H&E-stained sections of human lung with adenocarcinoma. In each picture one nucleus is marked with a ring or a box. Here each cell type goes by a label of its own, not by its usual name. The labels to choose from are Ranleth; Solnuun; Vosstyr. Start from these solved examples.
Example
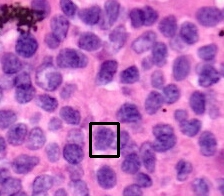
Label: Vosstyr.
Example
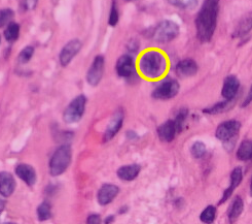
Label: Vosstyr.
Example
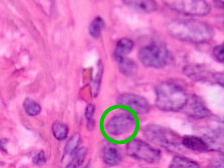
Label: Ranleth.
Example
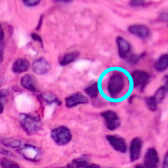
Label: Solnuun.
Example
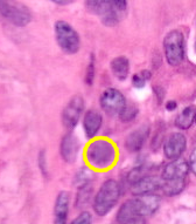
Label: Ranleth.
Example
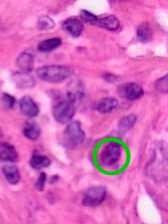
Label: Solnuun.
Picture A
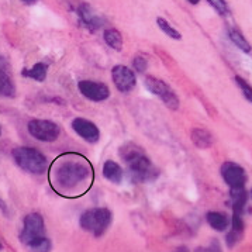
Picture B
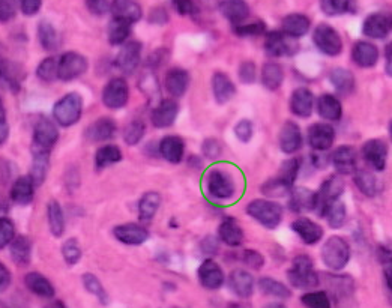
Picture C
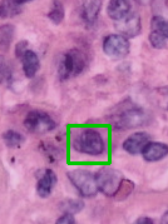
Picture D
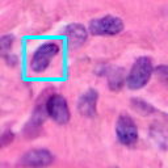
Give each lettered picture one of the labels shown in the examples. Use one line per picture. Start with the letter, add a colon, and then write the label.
A: Solnuun.
B: Vosstyr.
C: Solnuun.
D: Vosstyr.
